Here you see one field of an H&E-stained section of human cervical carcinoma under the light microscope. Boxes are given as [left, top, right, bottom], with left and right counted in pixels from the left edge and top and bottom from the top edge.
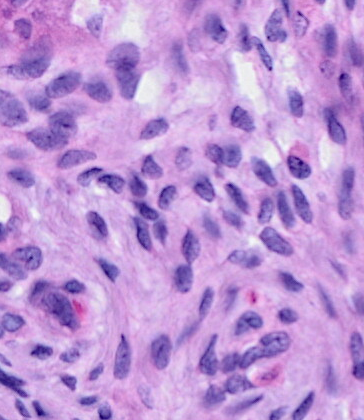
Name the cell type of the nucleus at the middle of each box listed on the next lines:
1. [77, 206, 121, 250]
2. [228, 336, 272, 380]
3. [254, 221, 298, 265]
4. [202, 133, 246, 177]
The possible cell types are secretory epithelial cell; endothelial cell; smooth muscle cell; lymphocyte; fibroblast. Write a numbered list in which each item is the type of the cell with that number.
1. fibroblast
2. endothelial cell
3. fibroblast
4. fibroblast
